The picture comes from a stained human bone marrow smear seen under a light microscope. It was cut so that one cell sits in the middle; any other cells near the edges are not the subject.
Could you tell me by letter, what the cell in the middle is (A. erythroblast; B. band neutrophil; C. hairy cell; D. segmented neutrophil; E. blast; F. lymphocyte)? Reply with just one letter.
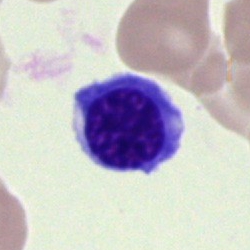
A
